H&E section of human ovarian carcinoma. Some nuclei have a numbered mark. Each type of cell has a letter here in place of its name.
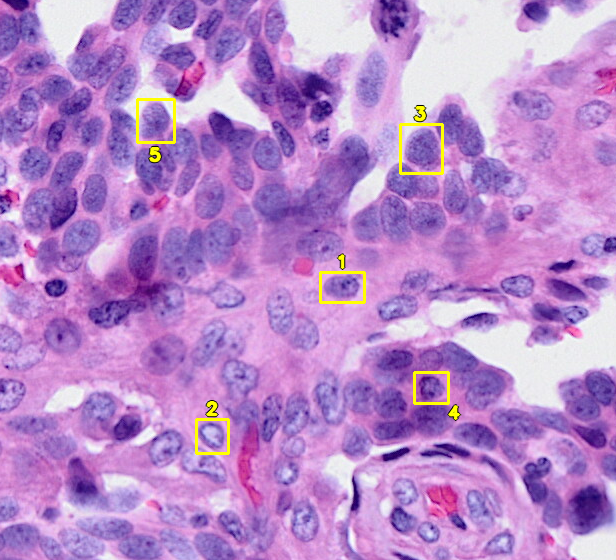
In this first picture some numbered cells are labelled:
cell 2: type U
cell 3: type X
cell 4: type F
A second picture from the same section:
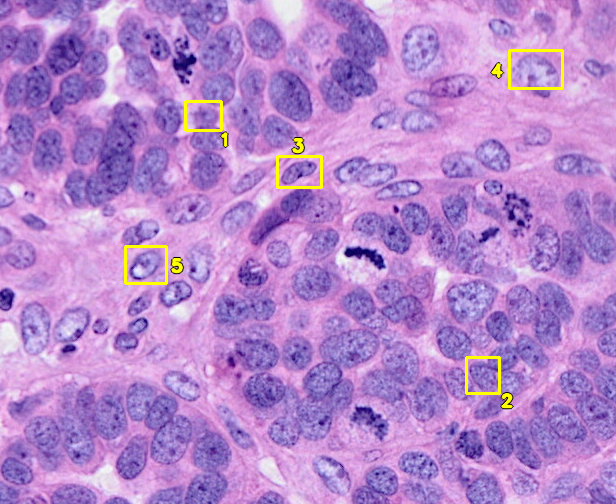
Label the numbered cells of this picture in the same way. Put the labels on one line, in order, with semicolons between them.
type X; type X; type F; type U; type U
